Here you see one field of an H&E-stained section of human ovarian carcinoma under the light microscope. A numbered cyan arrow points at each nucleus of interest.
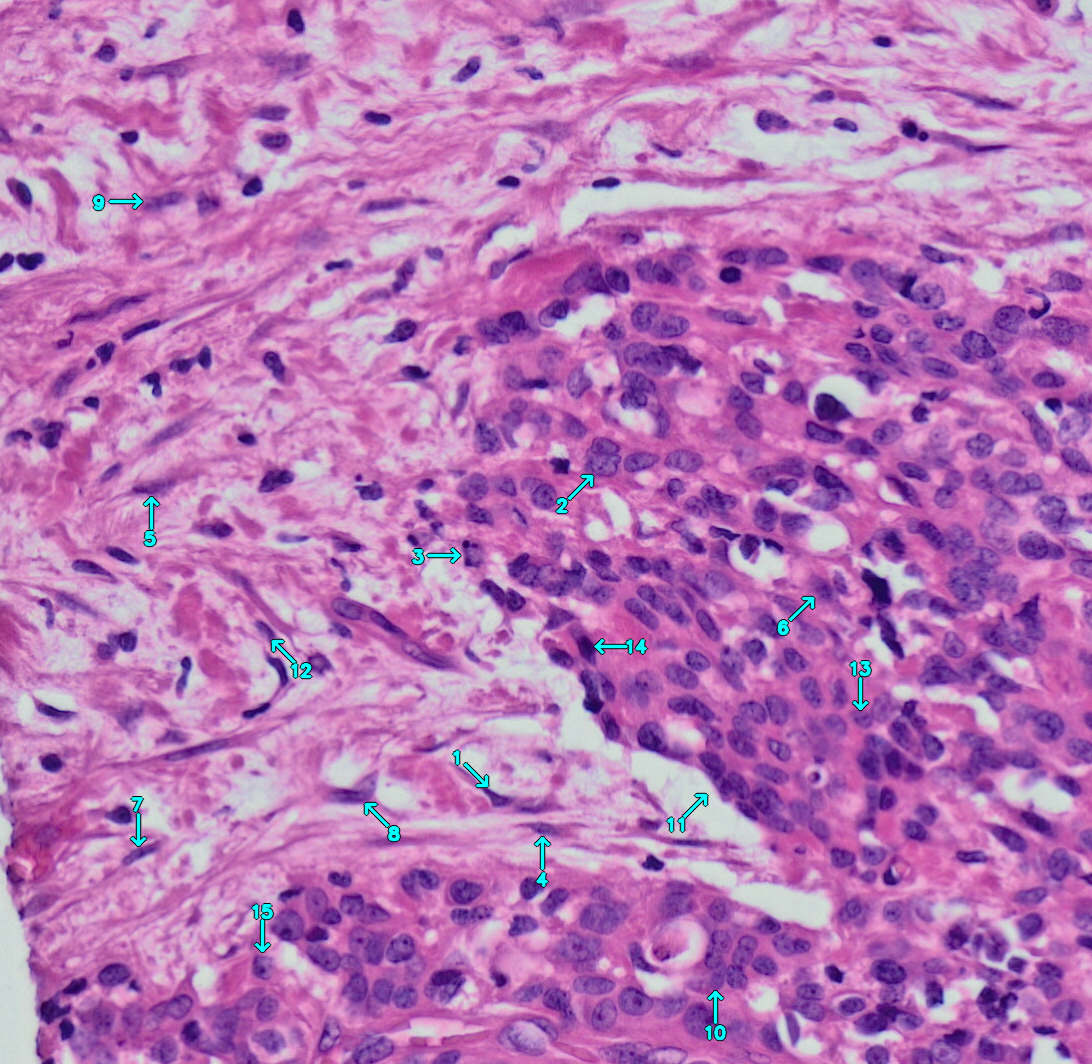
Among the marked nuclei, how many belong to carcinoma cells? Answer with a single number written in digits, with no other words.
6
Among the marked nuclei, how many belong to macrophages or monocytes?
2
